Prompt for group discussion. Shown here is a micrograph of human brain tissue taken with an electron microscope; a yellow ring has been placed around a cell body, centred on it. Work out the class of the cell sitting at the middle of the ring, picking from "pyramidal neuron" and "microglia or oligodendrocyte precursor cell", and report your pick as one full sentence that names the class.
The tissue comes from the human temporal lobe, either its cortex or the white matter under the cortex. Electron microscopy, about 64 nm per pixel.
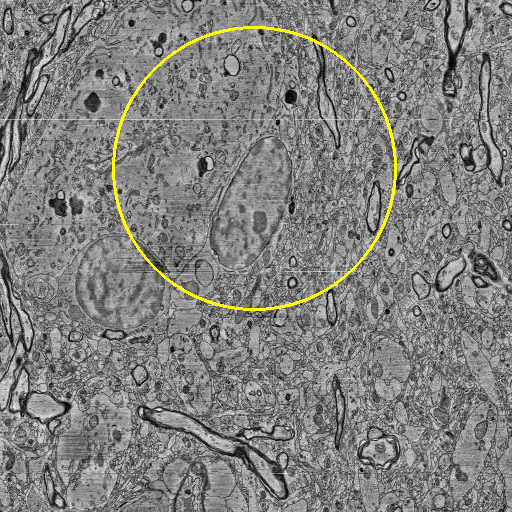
The cell sitting at the middle of the yellow ring is a microglial cell or oligodendrocyte precursor cell.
